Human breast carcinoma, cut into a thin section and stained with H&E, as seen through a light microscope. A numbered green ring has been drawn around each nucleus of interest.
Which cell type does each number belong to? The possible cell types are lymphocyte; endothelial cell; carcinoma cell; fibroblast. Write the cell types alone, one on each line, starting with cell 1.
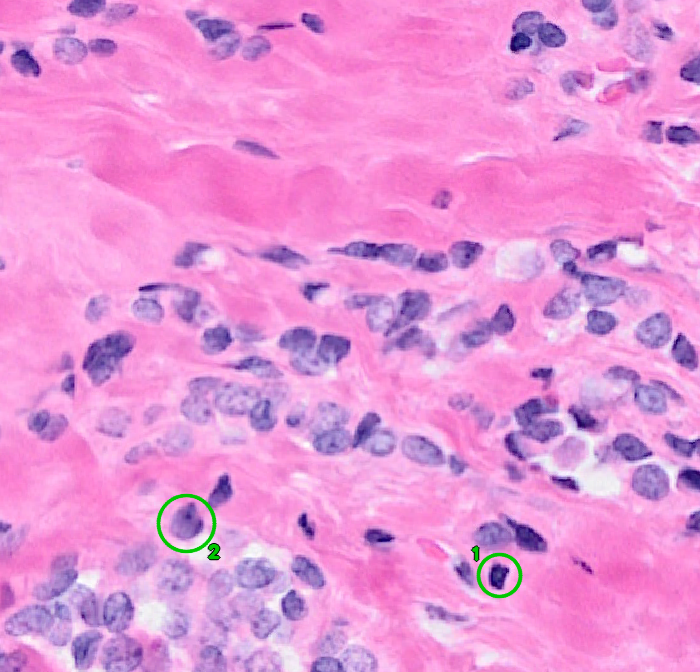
lymphocyte
carcinoma cell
